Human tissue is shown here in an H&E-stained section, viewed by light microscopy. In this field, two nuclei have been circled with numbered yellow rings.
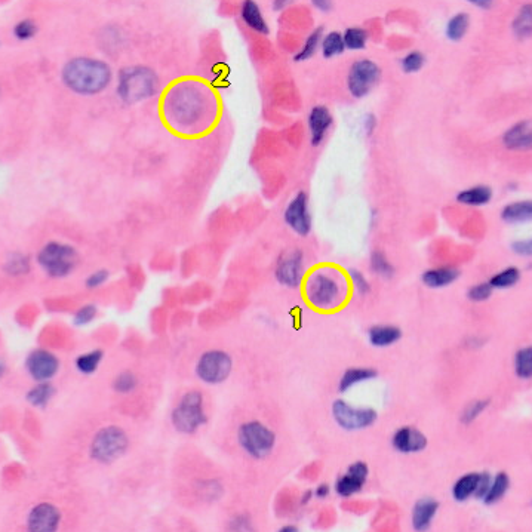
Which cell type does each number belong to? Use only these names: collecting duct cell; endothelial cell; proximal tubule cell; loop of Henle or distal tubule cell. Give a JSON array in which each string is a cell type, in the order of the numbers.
["loop of Henle or distal tubule cell", "proximal tubule cell"]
